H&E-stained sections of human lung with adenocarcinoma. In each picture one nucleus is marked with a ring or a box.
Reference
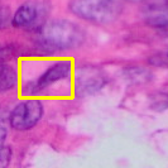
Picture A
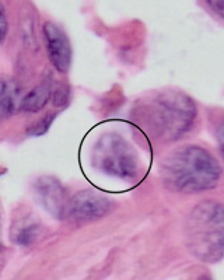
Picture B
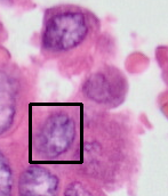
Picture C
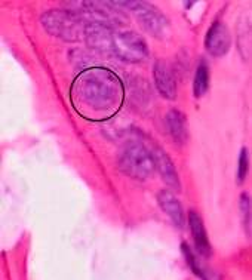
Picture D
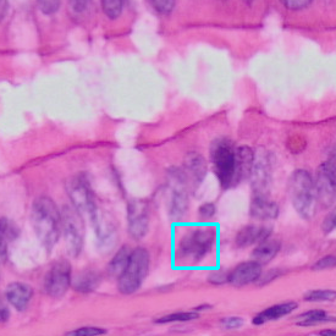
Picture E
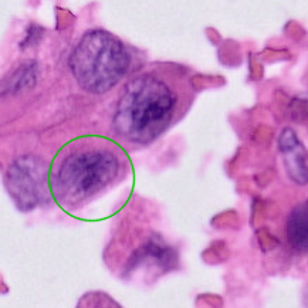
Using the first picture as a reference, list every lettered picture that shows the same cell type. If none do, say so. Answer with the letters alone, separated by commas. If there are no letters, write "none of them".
C, D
